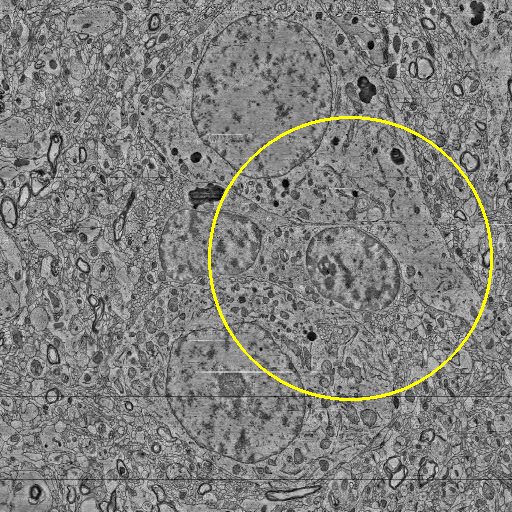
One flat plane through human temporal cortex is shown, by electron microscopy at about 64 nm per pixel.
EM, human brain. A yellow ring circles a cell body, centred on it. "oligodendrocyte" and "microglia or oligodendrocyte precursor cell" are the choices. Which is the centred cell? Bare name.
oligodendrocyte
